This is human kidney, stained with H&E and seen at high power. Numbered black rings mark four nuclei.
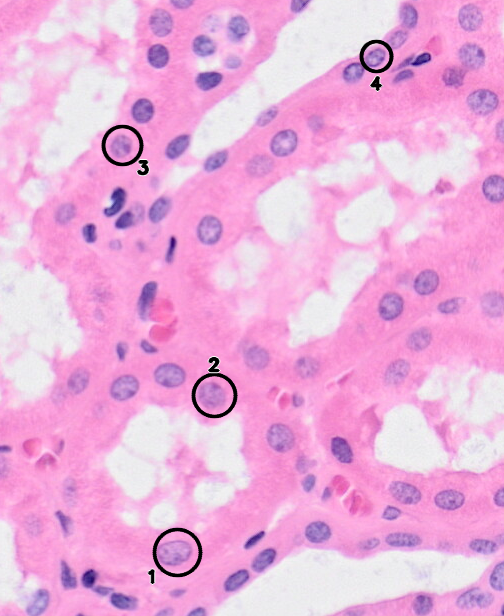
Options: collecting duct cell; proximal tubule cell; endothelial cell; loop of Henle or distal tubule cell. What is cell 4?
collecting duct cell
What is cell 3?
proximal tubule cell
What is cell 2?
proximal tubule cell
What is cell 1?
proximal tubule cell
